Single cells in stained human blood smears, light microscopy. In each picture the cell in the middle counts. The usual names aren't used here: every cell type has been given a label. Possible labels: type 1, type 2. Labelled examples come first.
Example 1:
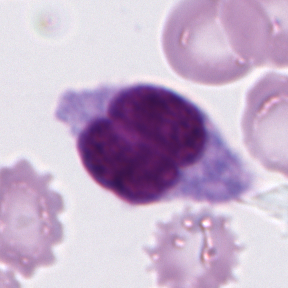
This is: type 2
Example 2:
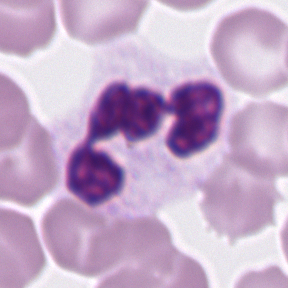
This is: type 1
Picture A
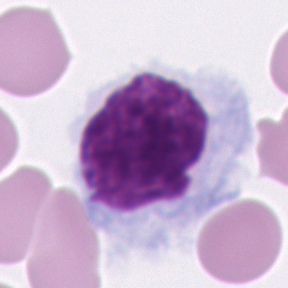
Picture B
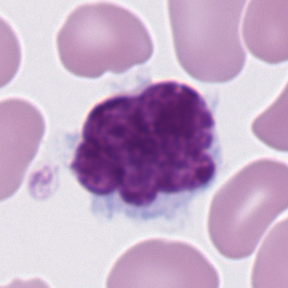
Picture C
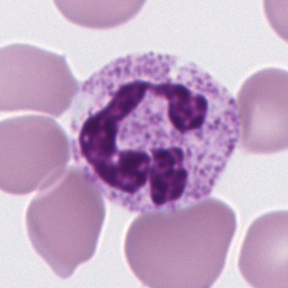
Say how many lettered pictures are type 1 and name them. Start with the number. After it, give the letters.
1: C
